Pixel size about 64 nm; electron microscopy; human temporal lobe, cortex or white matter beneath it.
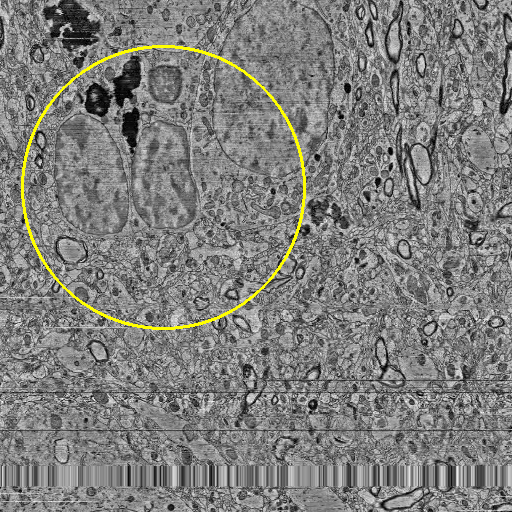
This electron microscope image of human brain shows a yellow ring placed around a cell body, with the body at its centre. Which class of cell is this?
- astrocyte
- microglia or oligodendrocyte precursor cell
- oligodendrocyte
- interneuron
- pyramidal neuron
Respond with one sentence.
The cell body at the ring's centre is an oligodendrocyte.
